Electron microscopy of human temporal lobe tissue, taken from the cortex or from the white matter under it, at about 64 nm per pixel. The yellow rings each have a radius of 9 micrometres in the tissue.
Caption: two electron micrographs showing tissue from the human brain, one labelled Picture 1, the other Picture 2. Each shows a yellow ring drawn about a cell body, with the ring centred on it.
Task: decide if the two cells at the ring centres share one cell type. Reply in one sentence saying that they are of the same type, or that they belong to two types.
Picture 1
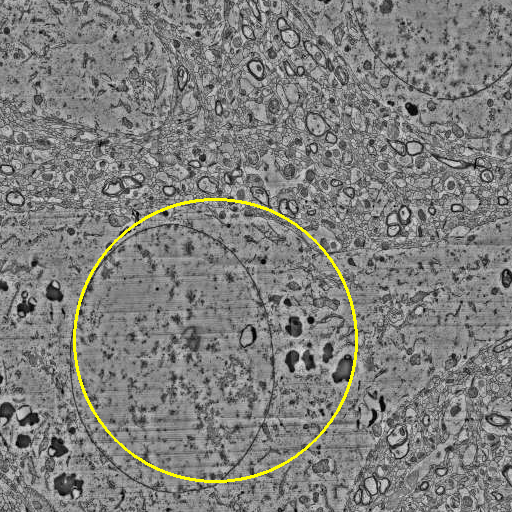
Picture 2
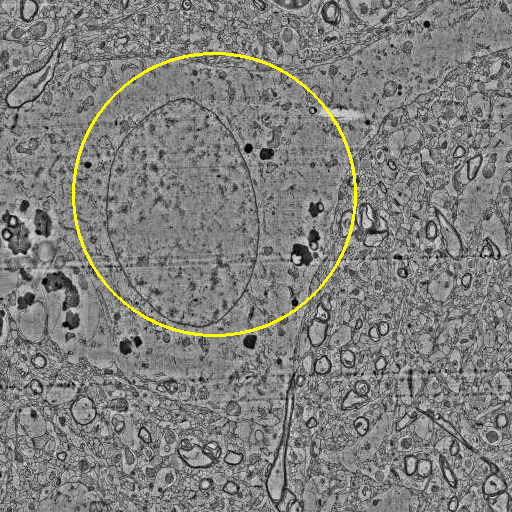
The cells at the ring centres in Picture 1 and Picture 2 are of the same type.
